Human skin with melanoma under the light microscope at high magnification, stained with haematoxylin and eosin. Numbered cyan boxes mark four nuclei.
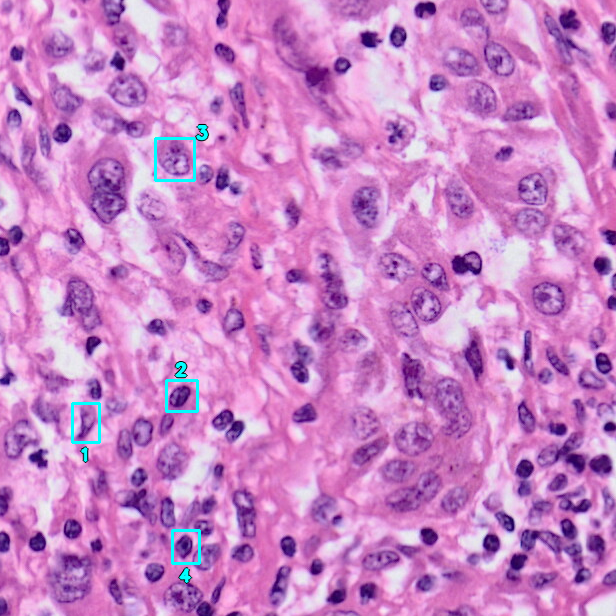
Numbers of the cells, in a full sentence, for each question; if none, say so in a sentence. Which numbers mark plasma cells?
Cell 2, and no other numbered cell, is a plasma cell.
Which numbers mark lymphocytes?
Cell 4 alone, of all the numbered cells, is a lymphocyte.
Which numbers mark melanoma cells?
Only number 3 is a melanoma cell; none of the others are.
